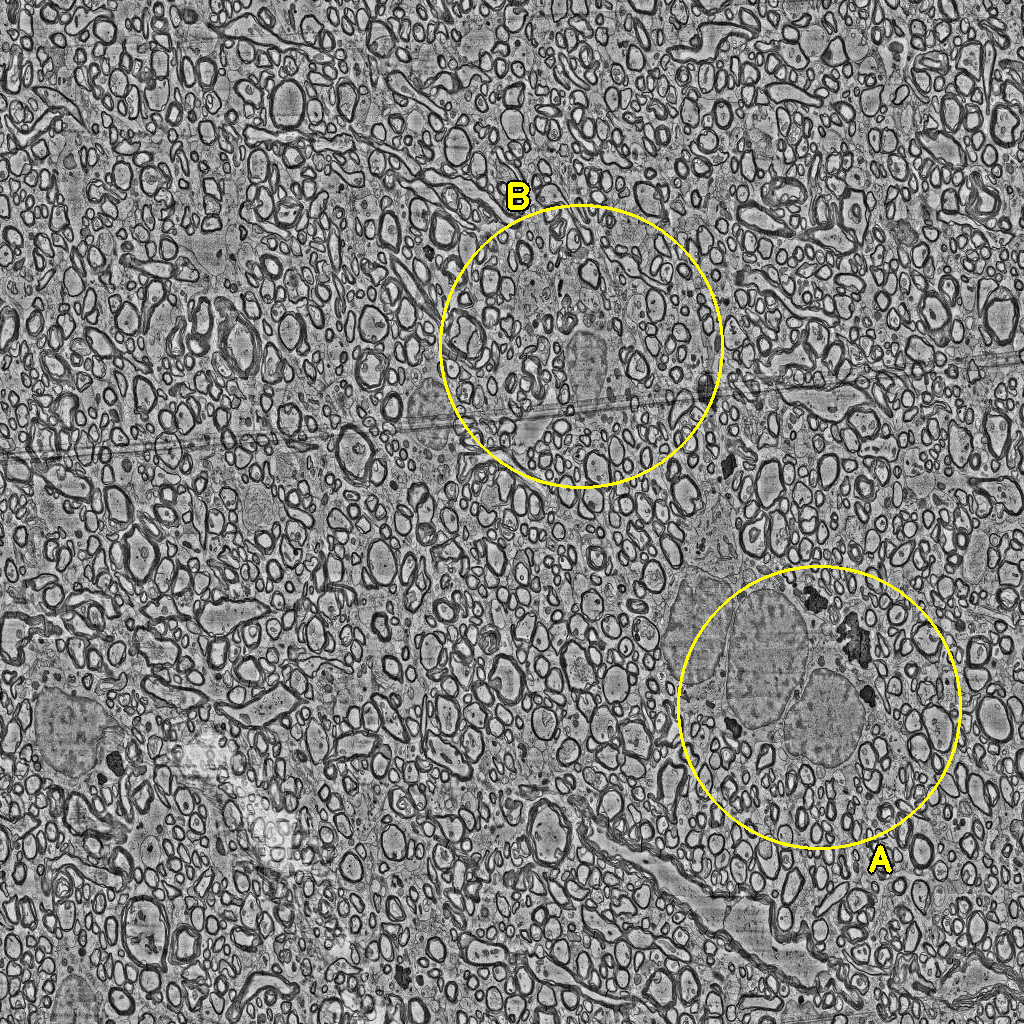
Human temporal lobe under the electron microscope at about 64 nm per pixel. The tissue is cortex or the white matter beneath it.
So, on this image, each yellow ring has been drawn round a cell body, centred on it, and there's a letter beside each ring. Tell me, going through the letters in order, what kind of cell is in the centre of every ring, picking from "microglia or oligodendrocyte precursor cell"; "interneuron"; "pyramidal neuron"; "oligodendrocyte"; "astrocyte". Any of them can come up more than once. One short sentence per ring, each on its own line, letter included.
Ring A has been drawn round an oligodendrocyte.
Ring B has been drawn round an oligodendrocyte.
